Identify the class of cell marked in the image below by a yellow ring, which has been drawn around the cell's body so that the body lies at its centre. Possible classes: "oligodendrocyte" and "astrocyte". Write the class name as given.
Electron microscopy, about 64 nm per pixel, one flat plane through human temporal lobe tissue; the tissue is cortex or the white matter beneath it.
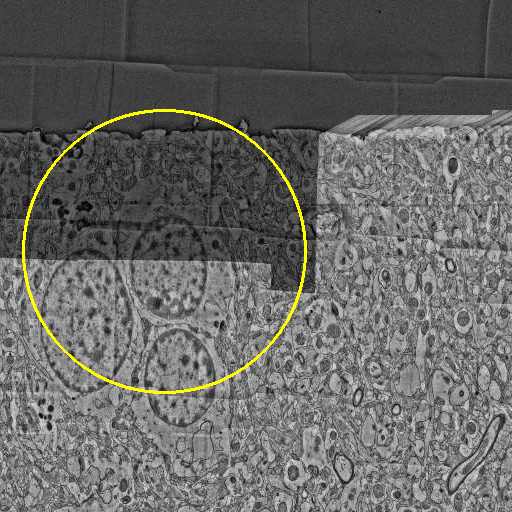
astrocyte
